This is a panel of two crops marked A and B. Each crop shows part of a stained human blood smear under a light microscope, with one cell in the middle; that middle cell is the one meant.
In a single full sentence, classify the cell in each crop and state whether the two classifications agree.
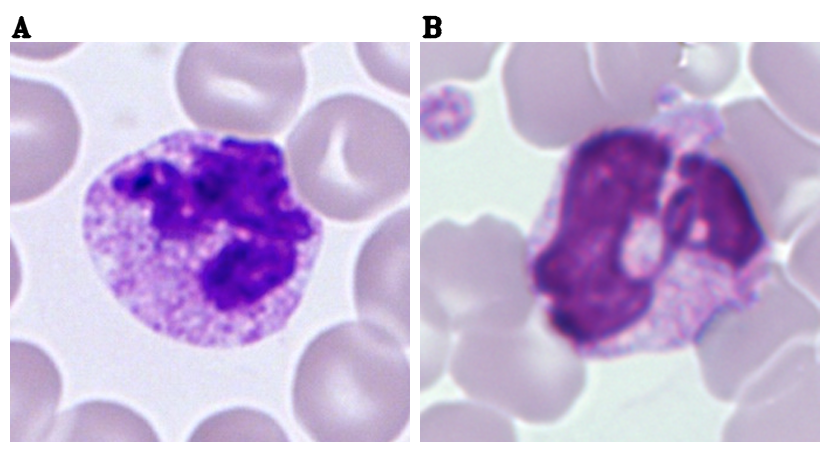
No, crop A carries a basophil and crop B carries a segmented neutrophil.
